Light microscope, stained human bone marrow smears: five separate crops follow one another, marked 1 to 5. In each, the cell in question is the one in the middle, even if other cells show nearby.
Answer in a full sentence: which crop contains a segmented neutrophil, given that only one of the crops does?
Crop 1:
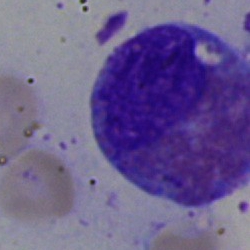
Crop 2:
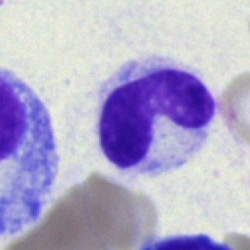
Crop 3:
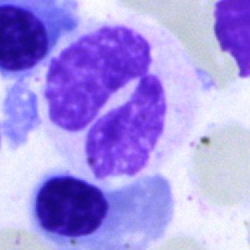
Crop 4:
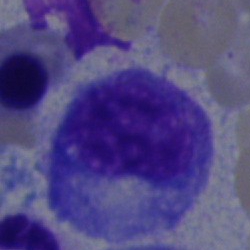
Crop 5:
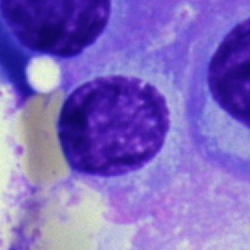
So the crop with a segmented neutrophil at its center is crop 3.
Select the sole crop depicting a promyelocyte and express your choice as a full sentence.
Crop 4 is the correct crop, and it shows a promyelocyte.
